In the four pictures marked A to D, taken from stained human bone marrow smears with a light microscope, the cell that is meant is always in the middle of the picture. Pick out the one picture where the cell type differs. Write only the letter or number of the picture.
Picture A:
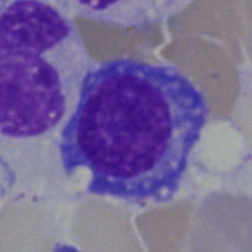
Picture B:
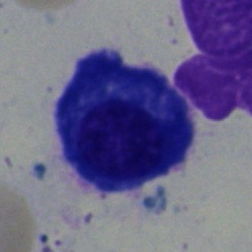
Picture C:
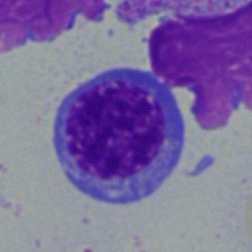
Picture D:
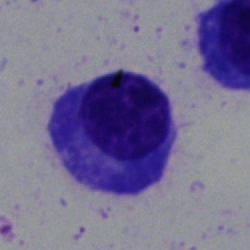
C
